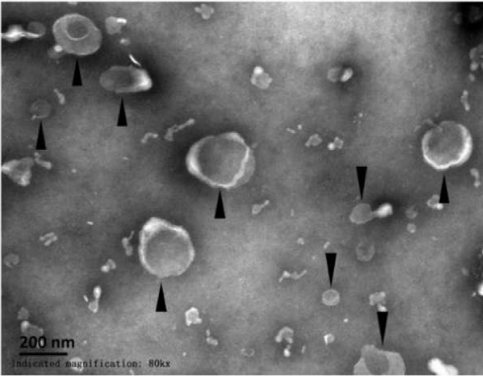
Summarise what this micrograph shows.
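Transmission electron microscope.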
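Scattered across a grey negatively stained background lie small, round, membrane-bounded vesicles, each with a bright rim and a darker, somewhat sunken, cup-like centre. They vary in size, from small ones of roughly fifty nanometres to larger ones near the length of the scale bar. Smaller irregular particles and debris lie between them, with no whole cells in the field.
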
